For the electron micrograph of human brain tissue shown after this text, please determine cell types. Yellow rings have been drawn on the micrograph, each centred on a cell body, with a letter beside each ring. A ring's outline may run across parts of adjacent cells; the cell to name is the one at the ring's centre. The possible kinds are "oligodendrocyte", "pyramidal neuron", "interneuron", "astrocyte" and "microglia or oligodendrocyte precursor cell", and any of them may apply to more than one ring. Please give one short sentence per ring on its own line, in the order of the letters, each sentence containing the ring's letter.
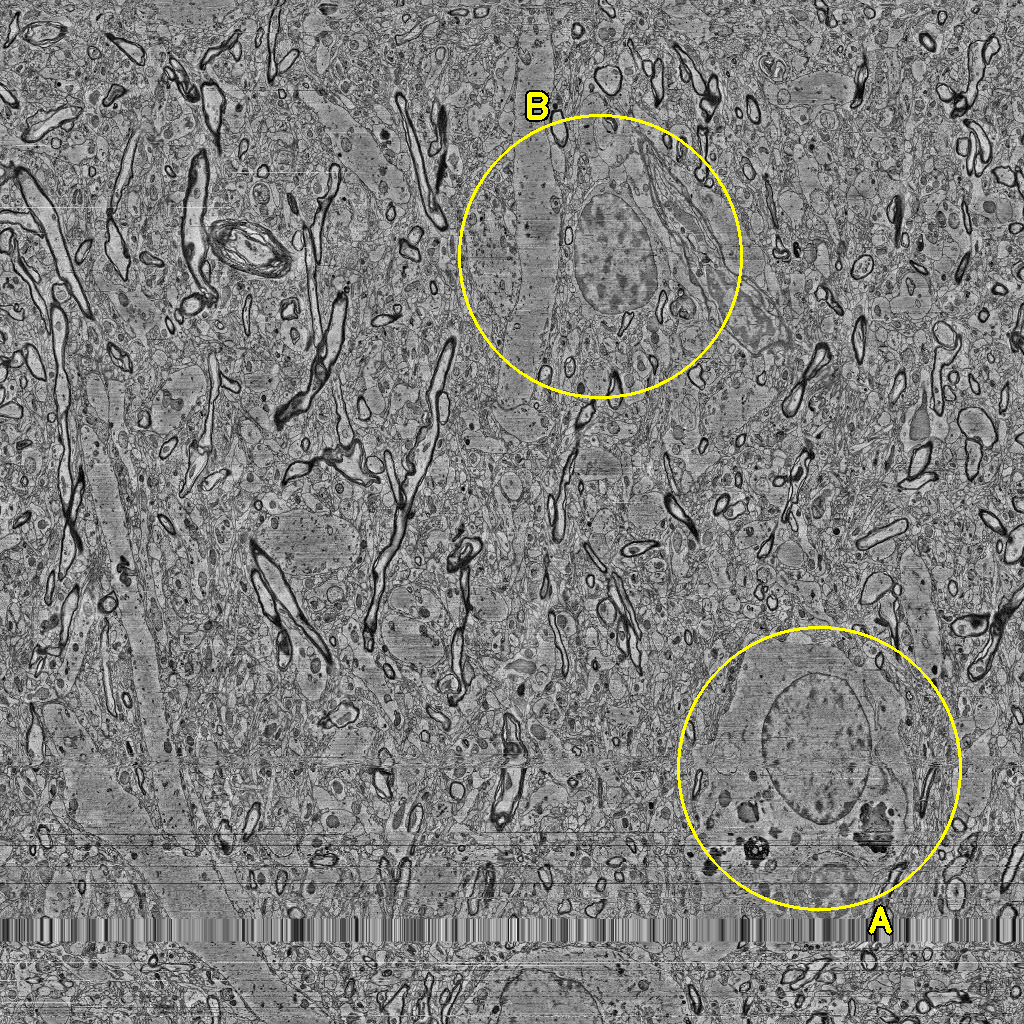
Ring A is set around an astrocyte.
Ring B is set around an oligodendrocyte.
